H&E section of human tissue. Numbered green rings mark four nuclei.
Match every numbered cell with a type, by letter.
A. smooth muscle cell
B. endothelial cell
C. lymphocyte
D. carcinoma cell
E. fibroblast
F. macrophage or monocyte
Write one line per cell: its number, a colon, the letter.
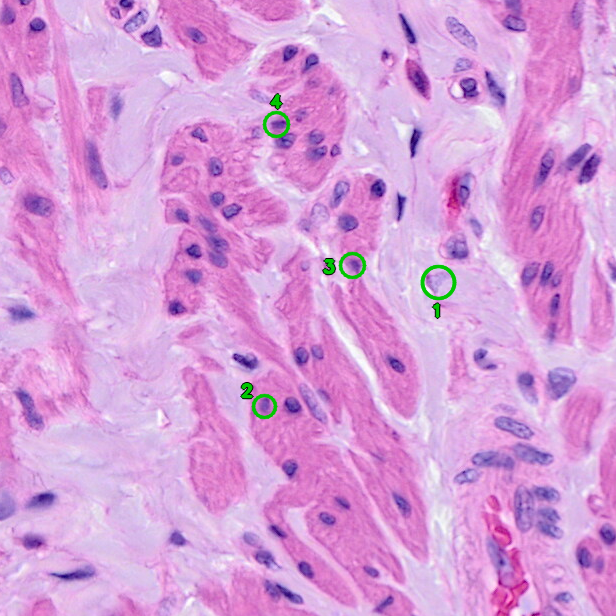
1: E
2: A
3: A
4: A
